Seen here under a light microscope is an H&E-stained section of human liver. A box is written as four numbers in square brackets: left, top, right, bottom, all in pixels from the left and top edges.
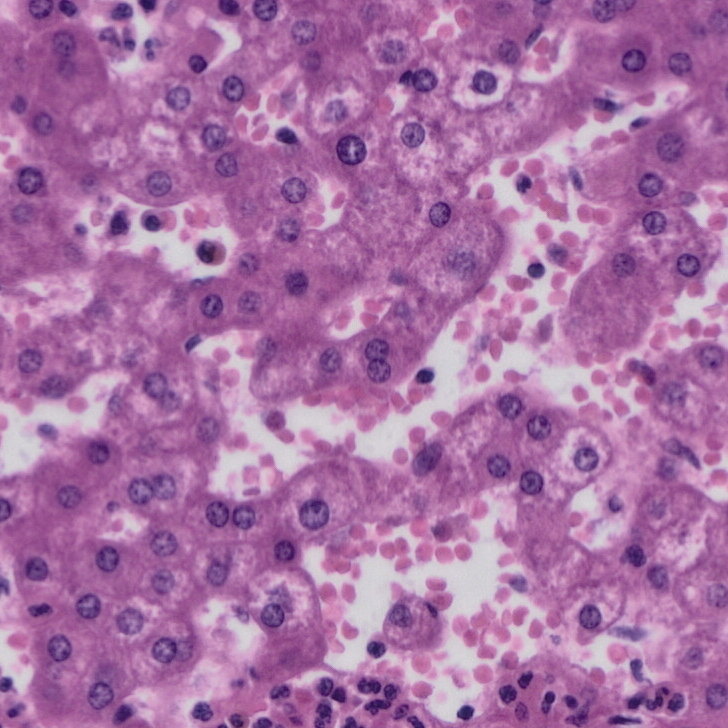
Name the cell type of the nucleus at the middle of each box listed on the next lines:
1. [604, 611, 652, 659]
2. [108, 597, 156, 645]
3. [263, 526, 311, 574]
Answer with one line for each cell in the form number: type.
1: endothelial cell
2: hepatocyte
3: hepatocyte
